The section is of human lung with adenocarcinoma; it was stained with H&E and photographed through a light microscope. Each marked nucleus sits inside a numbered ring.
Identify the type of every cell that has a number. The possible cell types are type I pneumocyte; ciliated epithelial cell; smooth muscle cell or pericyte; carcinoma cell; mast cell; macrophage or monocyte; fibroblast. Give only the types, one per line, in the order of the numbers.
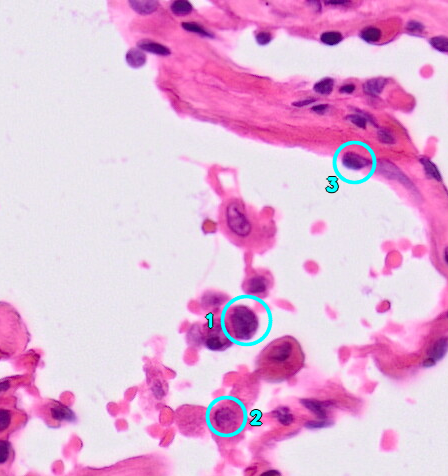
carcinoma cell
macrophage or monocyte
type I pneumocyte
